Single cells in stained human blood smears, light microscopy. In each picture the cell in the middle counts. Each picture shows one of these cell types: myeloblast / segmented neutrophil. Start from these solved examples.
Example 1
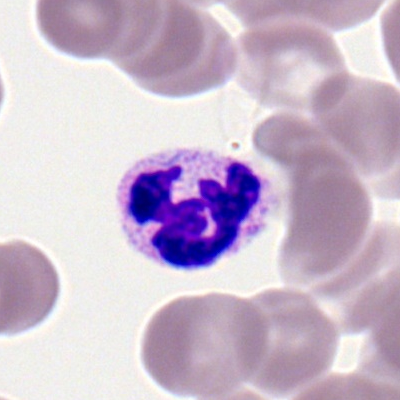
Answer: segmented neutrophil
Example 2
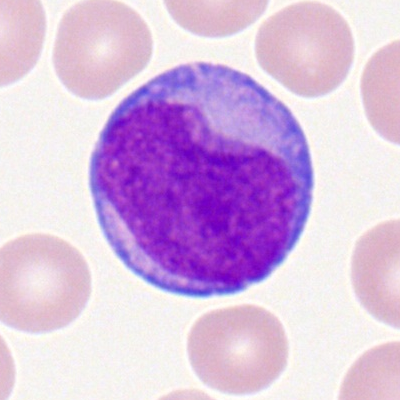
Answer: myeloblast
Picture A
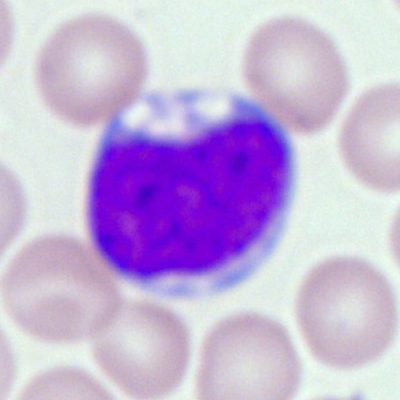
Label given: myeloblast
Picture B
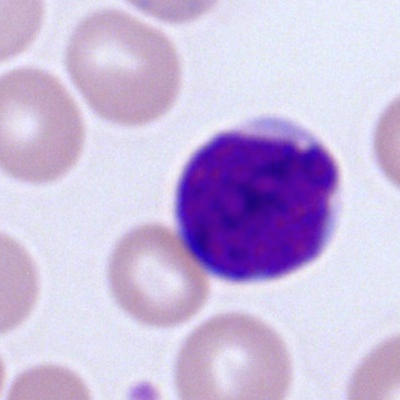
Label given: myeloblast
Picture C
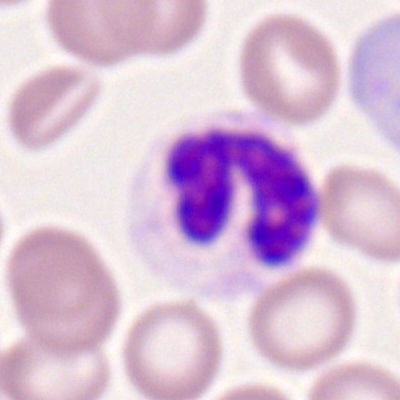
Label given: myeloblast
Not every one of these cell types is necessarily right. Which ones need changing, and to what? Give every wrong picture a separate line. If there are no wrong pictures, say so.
C should be segmented neutrophil, not myeloblast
